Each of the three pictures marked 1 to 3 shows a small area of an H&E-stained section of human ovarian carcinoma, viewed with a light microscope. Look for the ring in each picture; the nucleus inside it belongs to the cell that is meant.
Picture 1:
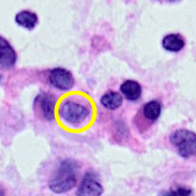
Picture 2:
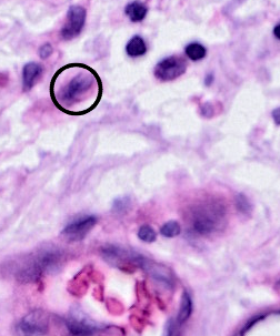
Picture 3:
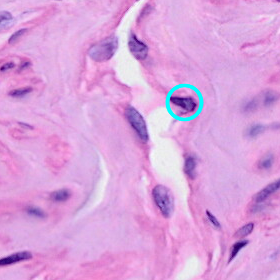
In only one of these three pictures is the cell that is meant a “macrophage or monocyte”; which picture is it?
1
